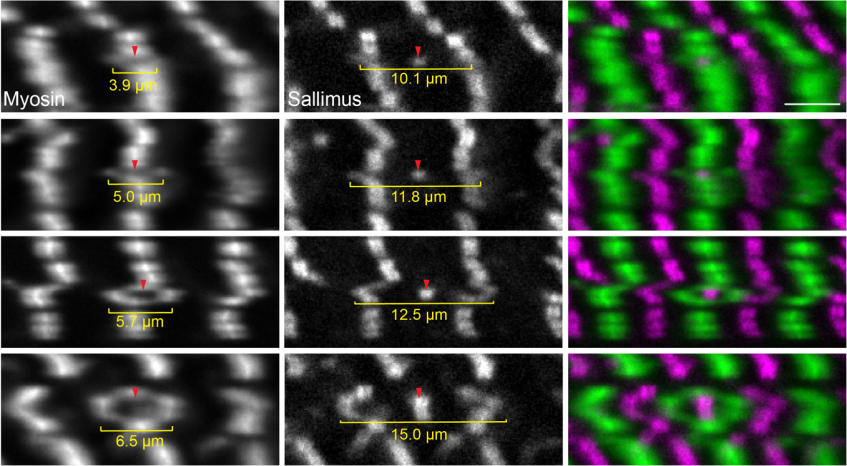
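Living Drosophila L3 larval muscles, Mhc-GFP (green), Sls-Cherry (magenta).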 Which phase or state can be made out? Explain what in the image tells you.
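Regular striations of alternating green bands and magenta lines. A magenta dot sits in the centre of each ring, marked by a red arrowhead.
Answer: Dividing sarcomeres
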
